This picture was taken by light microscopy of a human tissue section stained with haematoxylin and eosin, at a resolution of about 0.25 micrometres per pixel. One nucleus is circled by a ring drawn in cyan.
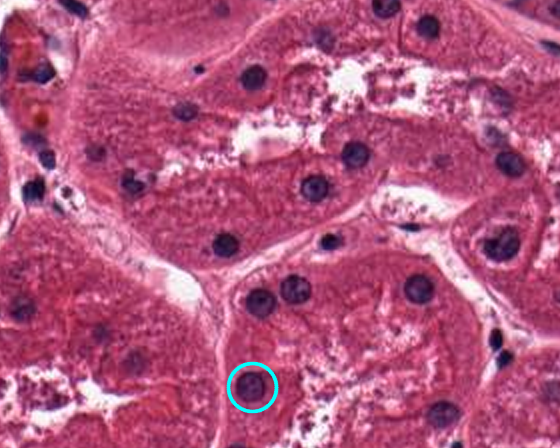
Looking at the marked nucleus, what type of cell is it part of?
proximal tubule cell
